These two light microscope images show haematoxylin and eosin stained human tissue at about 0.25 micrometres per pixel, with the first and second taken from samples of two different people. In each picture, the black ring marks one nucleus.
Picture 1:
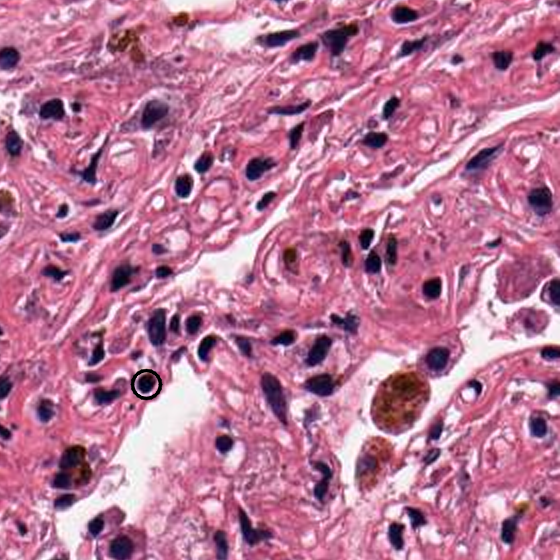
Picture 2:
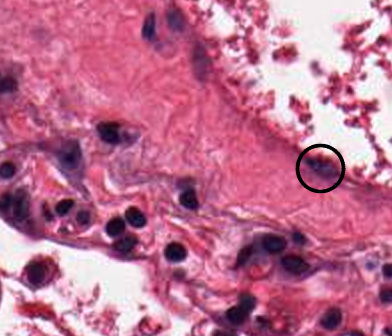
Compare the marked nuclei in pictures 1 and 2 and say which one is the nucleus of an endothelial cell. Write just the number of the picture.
2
